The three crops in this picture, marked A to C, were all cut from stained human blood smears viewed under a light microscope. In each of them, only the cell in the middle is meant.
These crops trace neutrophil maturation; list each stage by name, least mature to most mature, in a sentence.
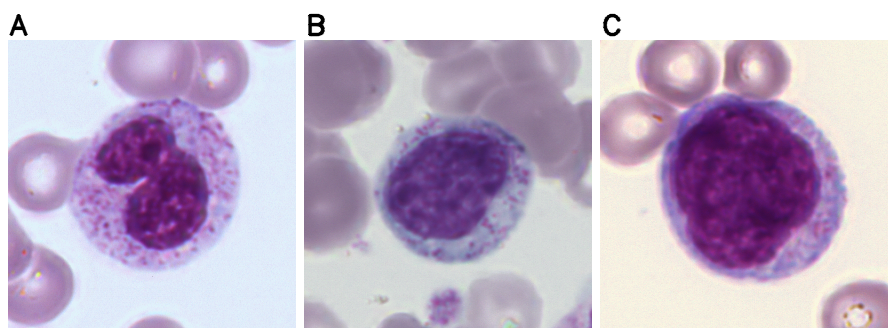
By stage of maturation, from earliest to latest, the order is crop C (a promyelocyte), crop B (a myelocyte) and crop A (a band neutrophil).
